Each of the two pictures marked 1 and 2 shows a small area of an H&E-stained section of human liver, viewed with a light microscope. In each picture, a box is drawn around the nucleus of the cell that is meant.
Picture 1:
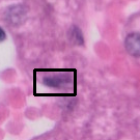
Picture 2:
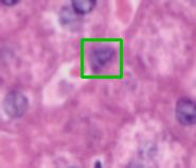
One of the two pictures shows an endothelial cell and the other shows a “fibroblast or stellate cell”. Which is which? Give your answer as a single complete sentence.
Picture 1 is of a “fibroblast or stellate cell”, and picture 2 is of an endothelial cell.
